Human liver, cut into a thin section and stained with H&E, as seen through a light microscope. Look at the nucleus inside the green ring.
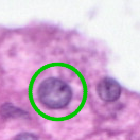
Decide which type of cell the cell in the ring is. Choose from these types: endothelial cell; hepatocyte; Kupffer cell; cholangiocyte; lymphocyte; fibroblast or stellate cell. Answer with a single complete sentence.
The classification of the cell in the ring is as a hepatocyte.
